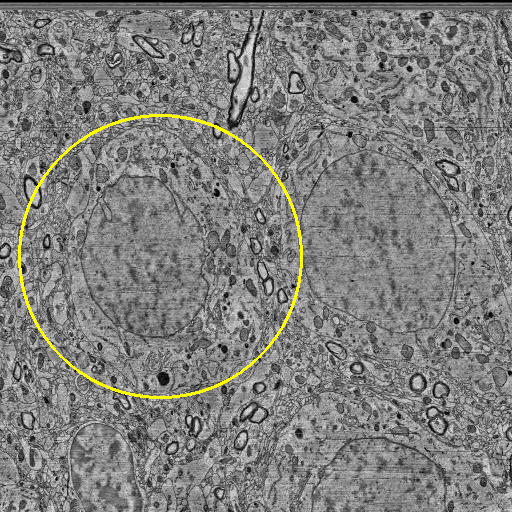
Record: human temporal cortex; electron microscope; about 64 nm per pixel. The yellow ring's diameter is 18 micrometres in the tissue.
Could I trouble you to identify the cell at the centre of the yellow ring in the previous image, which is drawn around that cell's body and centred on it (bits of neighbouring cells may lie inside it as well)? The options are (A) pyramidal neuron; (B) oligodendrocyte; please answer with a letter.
A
